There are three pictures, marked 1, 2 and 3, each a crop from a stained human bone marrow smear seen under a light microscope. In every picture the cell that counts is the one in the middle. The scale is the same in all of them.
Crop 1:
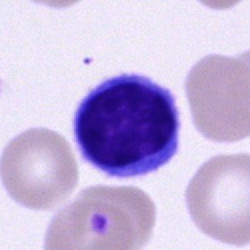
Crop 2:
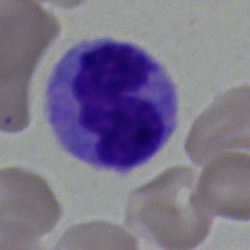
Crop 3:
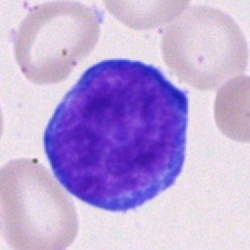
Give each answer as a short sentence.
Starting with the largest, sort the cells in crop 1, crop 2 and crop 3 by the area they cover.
Going down, they run 3, 2, 1.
